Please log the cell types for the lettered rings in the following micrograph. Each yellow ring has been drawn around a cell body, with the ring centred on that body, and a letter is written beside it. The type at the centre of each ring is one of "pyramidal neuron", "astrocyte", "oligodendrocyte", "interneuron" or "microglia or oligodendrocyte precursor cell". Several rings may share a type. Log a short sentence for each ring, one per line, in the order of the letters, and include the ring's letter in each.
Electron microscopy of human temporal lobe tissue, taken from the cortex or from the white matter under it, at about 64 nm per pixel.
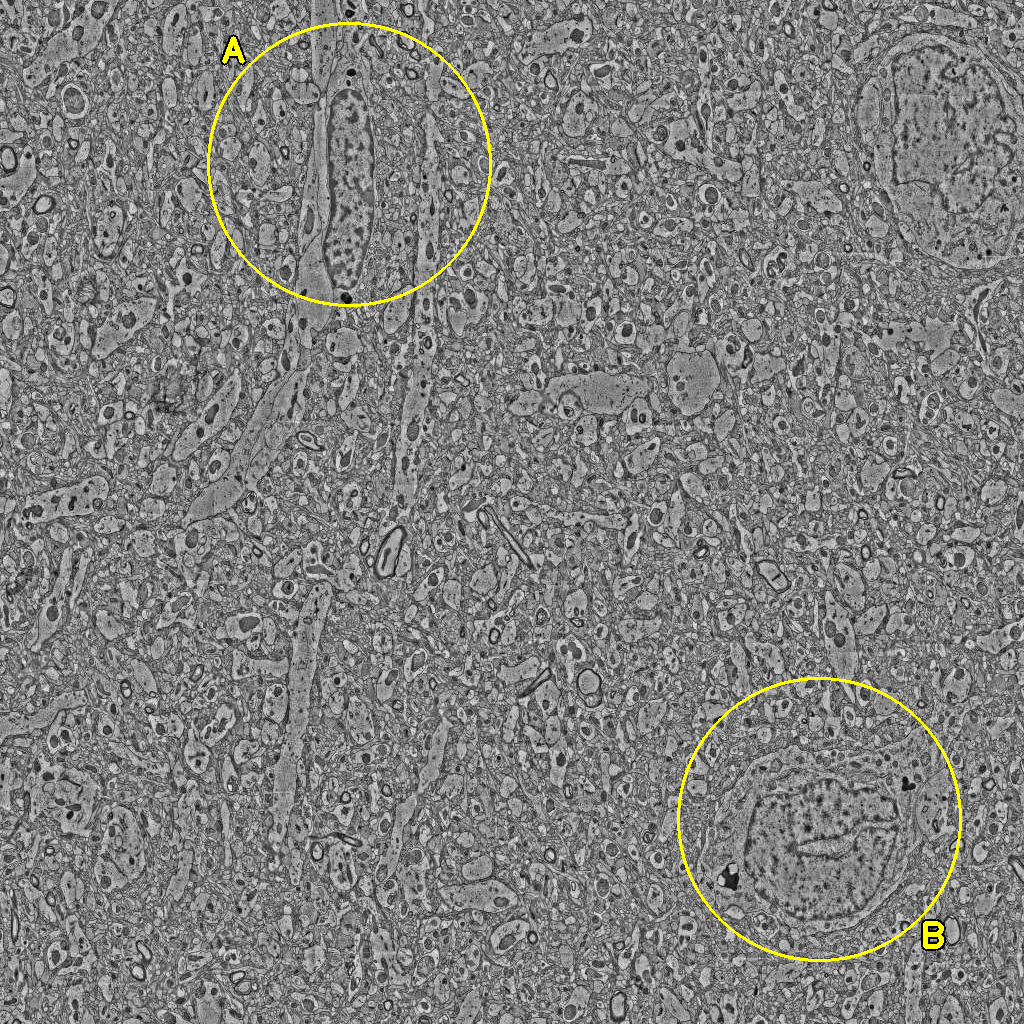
In ring A the central cell is a microglial cell or oligodendrocyte precursor cell.
In ring B the central cell is an interneuron.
